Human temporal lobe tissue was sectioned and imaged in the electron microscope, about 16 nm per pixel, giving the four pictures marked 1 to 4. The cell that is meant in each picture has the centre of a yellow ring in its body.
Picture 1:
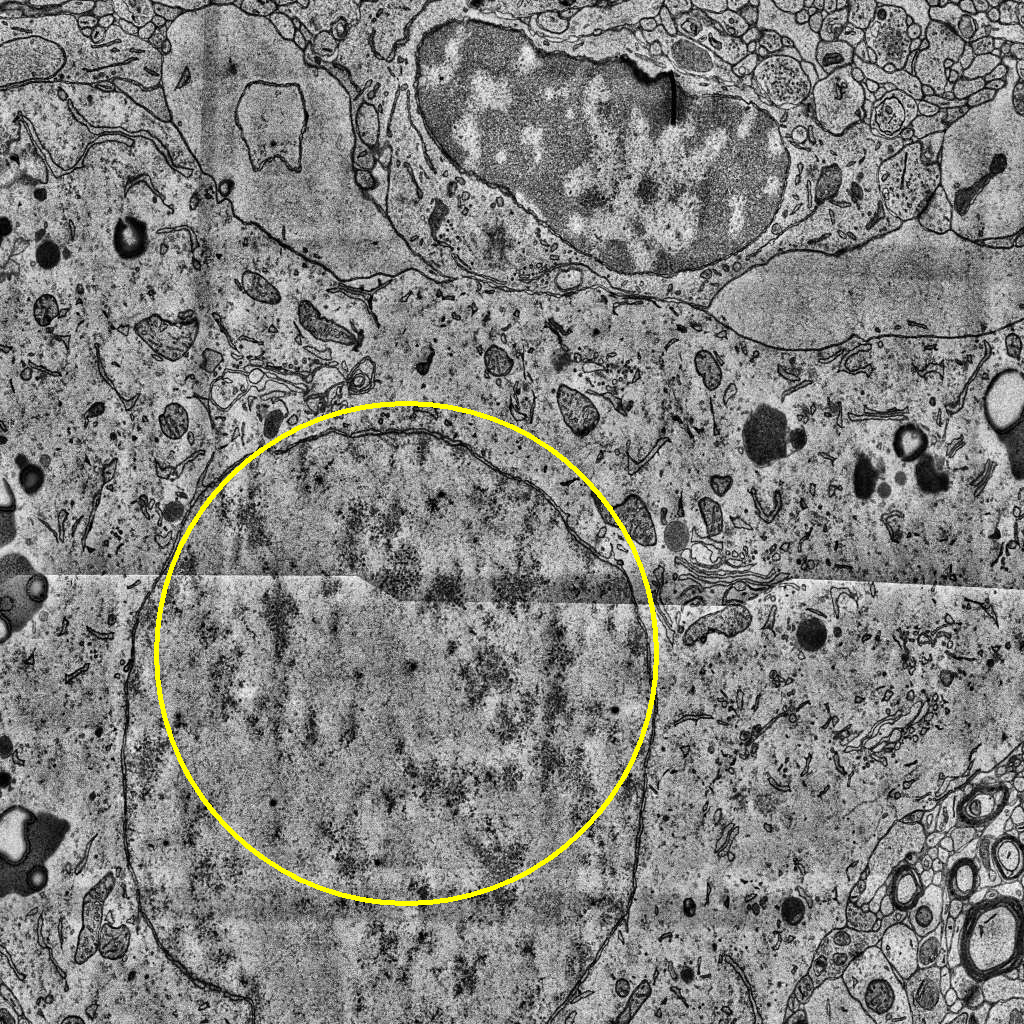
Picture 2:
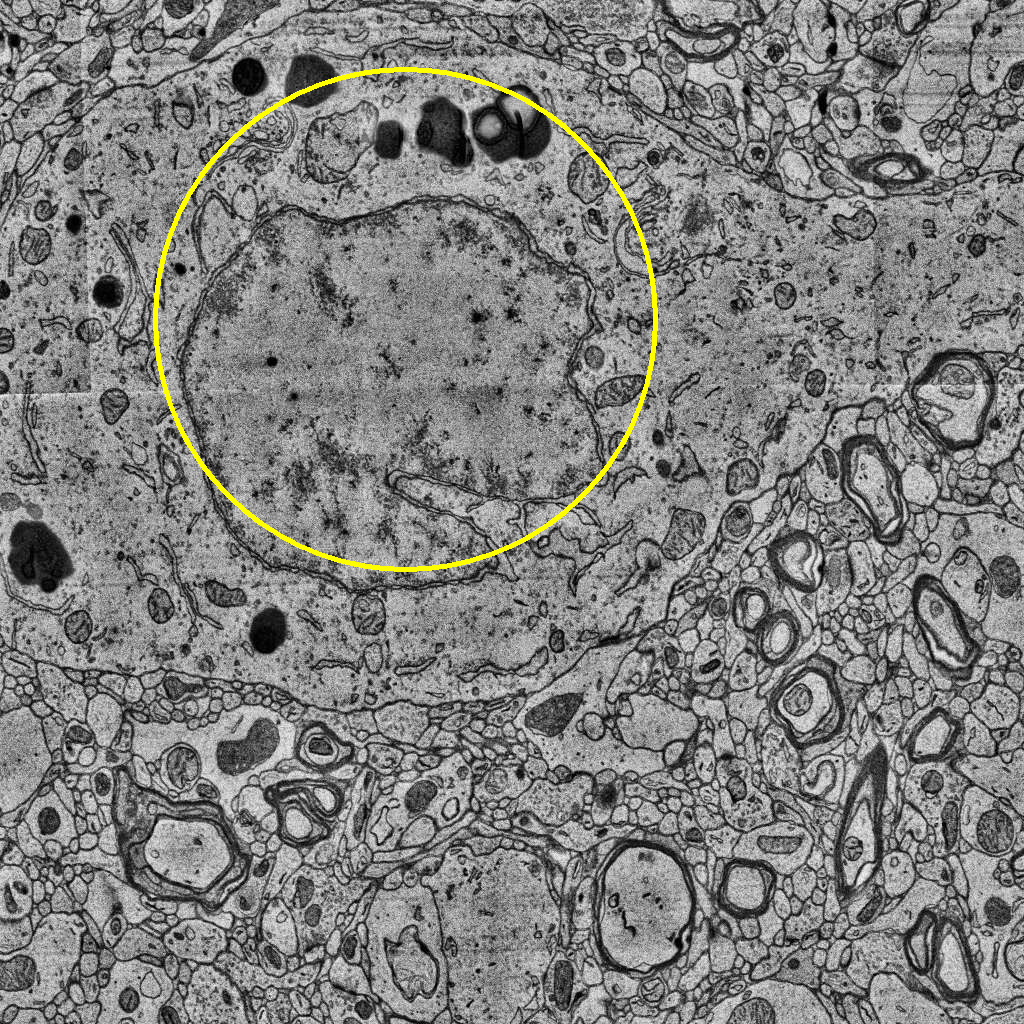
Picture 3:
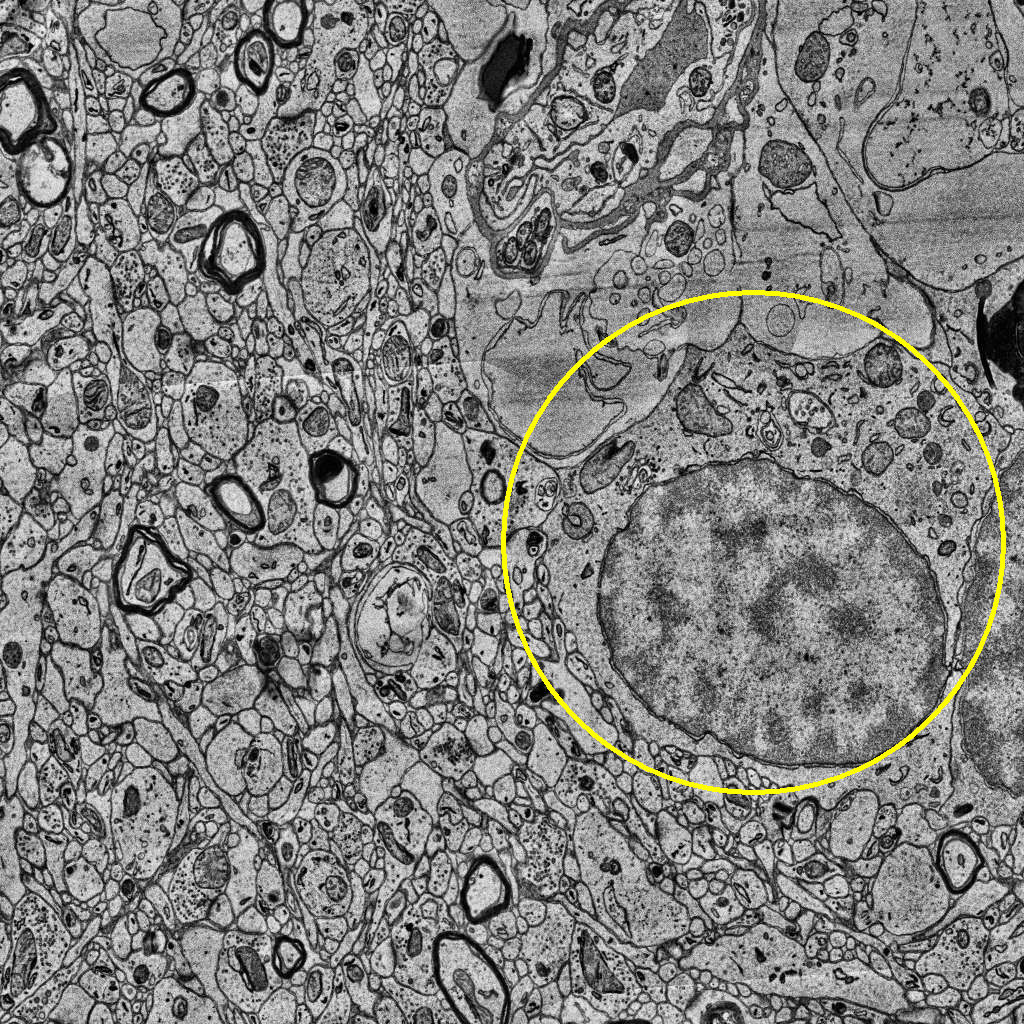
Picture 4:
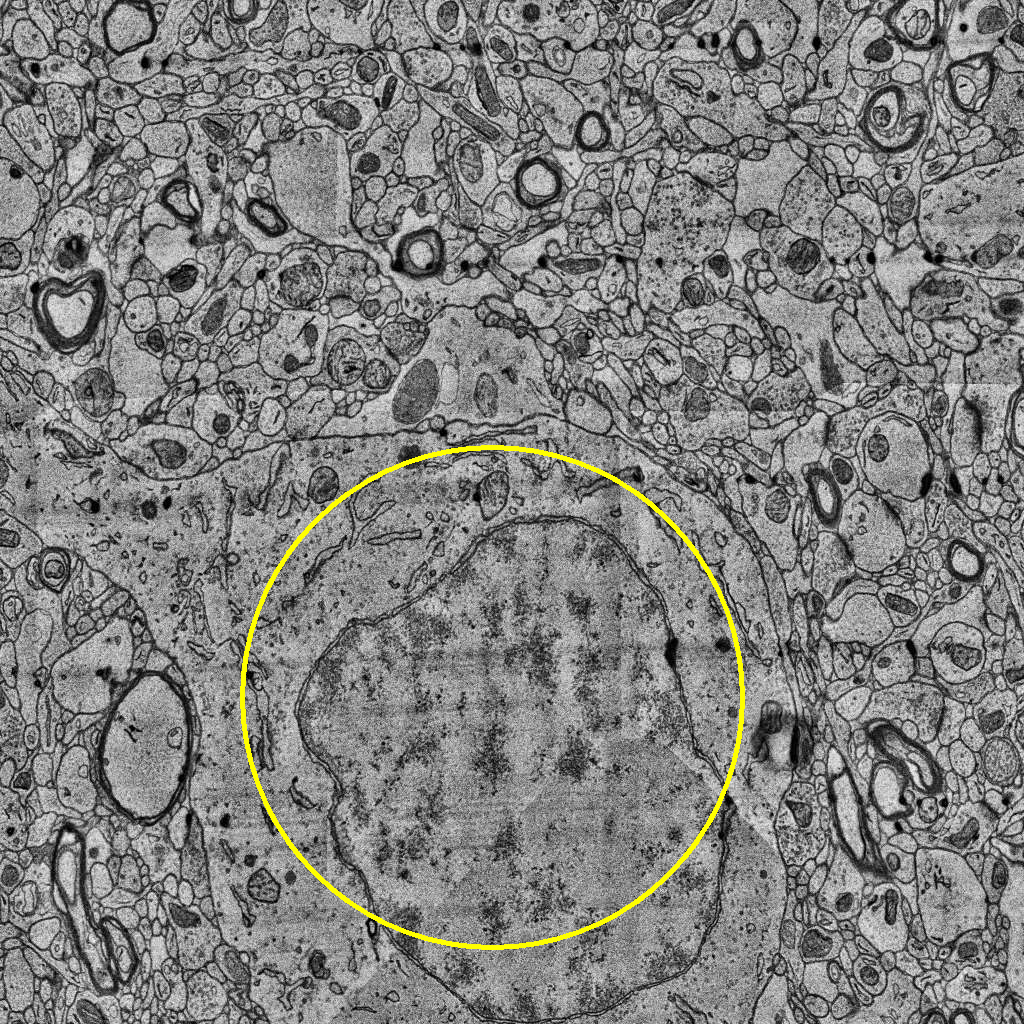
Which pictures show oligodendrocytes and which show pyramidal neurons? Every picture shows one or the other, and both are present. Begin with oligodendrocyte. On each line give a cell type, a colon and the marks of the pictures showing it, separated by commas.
oligodendrocyte: 3
pyramidal neuron: 1, 2, 4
